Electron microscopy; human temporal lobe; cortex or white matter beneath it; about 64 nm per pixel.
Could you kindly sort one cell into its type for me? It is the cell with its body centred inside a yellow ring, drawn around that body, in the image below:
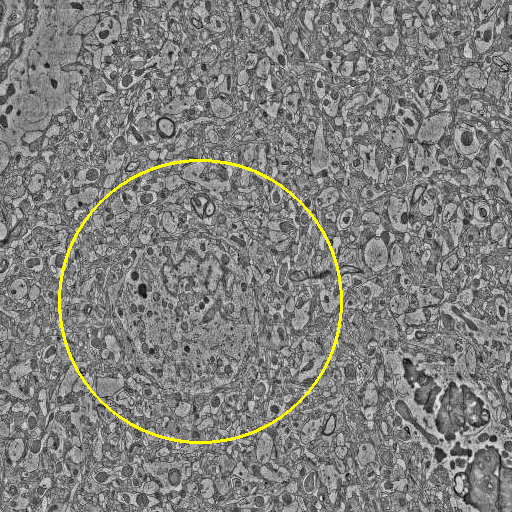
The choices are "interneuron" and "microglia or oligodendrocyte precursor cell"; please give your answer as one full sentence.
The cell whose body lies centred in the yellow ring here is an interneuron.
